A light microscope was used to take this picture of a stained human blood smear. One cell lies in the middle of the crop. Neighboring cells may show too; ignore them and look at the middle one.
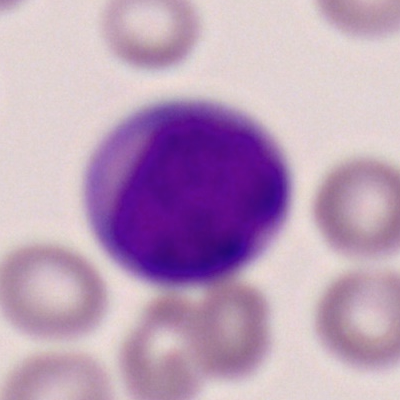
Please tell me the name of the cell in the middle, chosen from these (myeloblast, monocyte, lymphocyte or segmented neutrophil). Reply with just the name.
myeloblast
